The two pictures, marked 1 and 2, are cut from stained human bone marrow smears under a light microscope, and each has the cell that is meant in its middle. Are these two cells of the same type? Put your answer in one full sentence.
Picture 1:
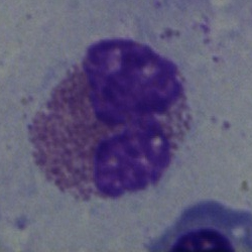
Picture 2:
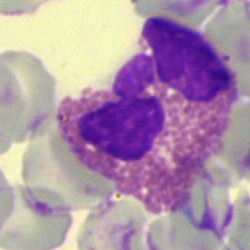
Yes, the two pictures both show eosinophils.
